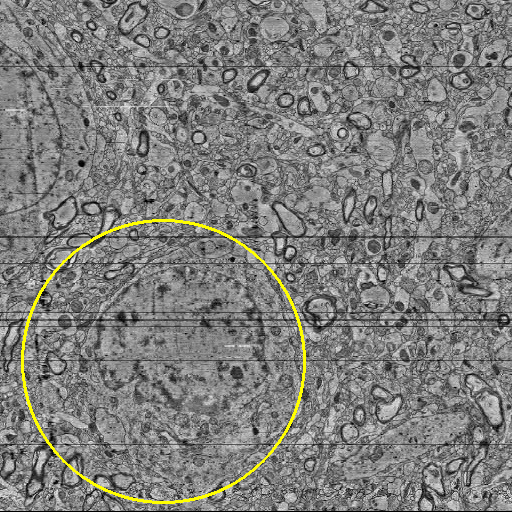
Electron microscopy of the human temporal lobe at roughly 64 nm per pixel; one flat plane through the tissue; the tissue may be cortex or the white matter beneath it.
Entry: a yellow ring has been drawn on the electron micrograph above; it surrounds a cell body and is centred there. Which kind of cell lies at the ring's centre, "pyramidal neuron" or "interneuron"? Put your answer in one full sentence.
The cell sitting at the ring's centre is an interneuron in the micrograph above.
